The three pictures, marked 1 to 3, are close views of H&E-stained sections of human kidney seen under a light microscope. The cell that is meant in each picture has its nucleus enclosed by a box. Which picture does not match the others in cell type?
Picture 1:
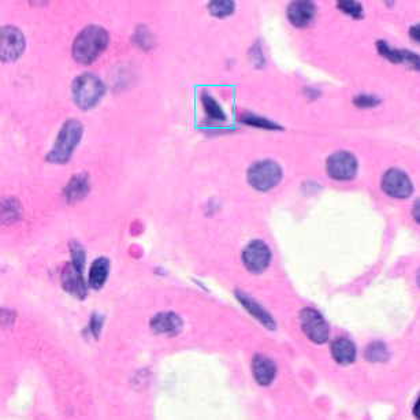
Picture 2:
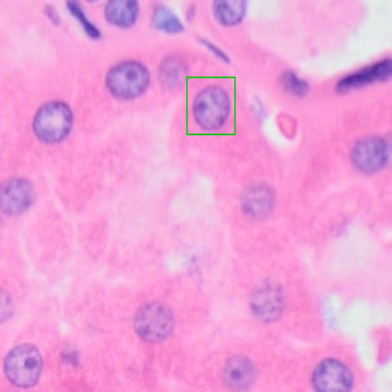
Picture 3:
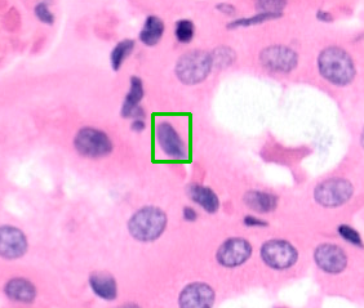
2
